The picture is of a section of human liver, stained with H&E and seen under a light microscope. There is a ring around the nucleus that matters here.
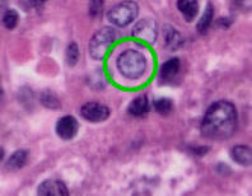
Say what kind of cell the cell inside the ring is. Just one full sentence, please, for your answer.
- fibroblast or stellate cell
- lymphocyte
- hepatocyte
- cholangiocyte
In this preparation, the cell inside the ring is a cholangiocyte.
